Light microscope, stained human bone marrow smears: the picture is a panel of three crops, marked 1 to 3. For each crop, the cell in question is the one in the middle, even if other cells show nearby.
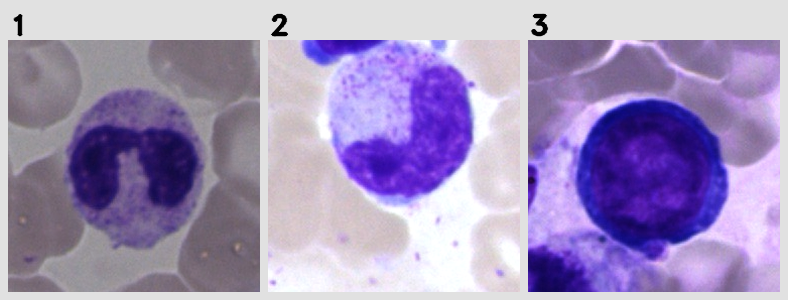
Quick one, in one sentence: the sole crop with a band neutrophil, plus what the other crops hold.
Crop 2 is read as a band neutrophil, while crop 1 is a segmented neutrophil and crop 3 is a proerythroblast.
